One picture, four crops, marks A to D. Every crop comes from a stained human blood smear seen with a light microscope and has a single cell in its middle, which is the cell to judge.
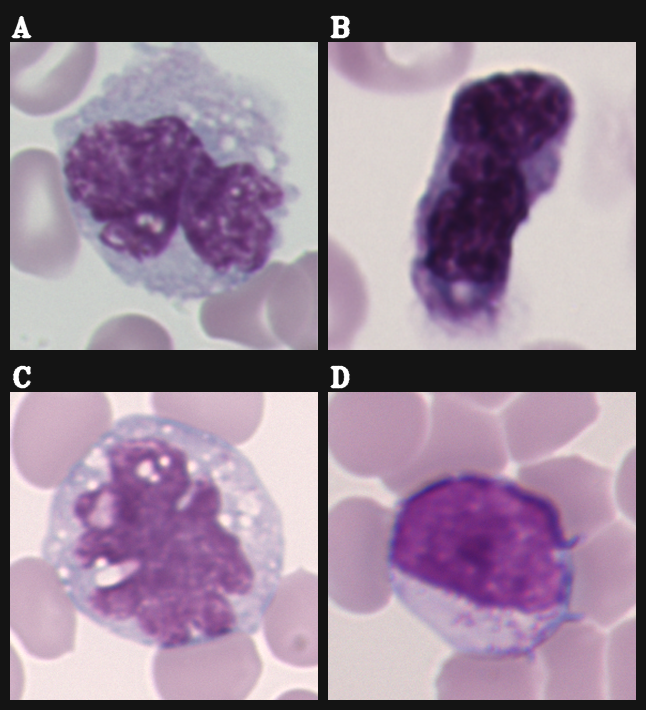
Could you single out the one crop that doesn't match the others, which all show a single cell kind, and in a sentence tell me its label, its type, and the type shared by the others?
Crop D shows a large granular lymphocyte, while all of the others show monocytes.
